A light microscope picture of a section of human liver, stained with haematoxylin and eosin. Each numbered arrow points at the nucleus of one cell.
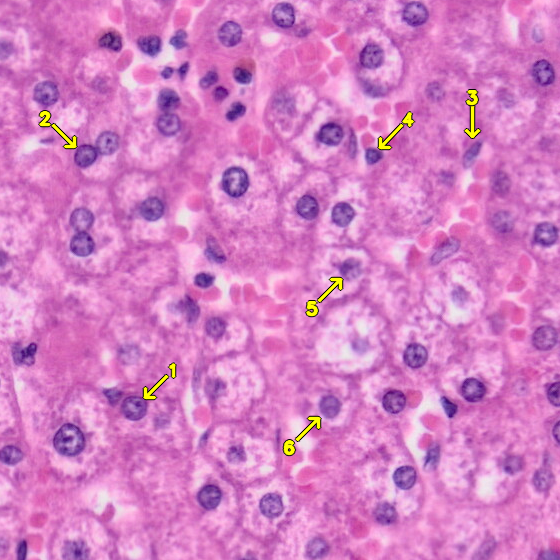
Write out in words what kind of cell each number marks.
Cells 1, 2, 5 and 6 are hepatocytes. Cell 3 is an endothelial cell. Cell 4 is a lymphocyte.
